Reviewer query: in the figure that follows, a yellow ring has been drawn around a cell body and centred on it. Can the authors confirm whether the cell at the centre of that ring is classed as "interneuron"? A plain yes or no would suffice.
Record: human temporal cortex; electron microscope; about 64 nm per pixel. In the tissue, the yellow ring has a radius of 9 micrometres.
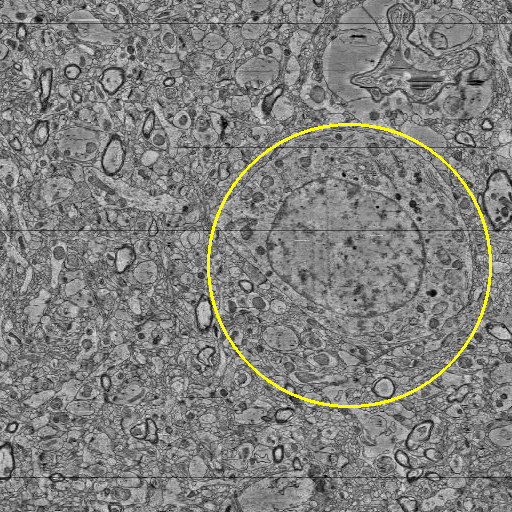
yes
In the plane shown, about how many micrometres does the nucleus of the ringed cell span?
In this plane the nucleus is about 10 micrometres by 9.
